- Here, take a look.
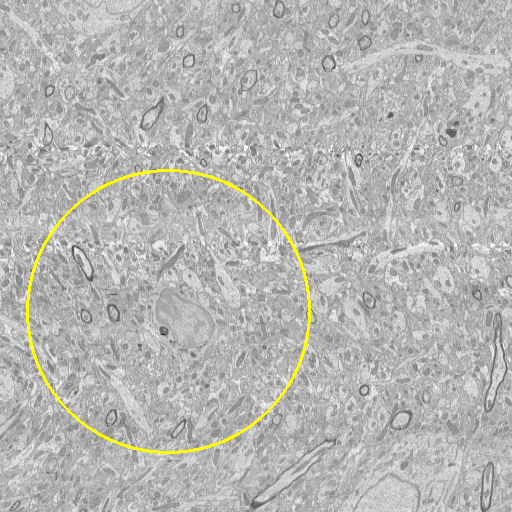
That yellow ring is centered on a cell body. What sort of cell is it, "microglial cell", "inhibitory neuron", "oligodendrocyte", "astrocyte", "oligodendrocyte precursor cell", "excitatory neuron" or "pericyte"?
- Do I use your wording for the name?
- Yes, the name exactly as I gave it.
microglial cell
